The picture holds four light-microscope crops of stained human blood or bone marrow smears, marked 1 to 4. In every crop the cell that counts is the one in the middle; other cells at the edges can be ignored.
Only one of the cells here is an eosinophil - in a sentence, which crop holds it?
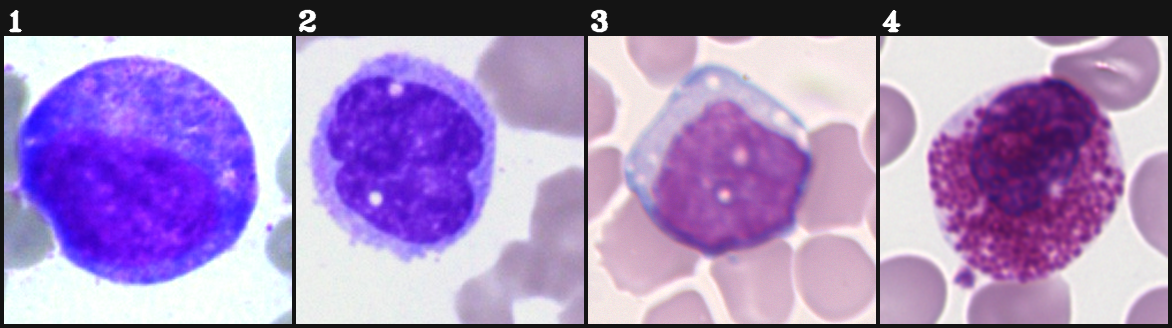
The crop bearing an eosinophil is crop 4.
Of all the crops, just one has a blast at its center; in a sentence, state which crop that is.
Identified crop: 3, the one that shows a blast.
